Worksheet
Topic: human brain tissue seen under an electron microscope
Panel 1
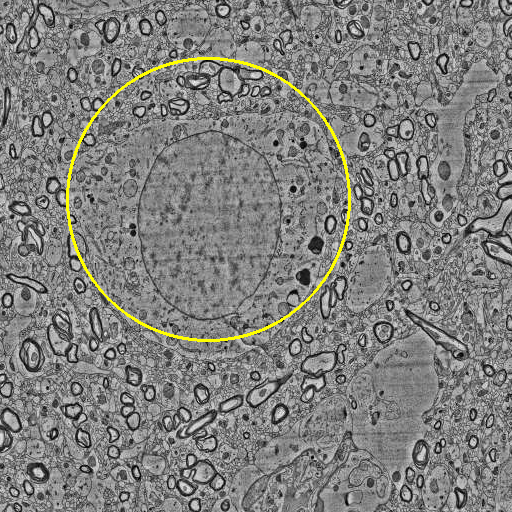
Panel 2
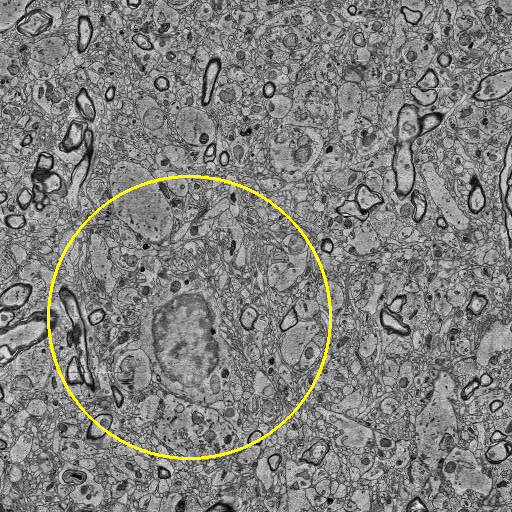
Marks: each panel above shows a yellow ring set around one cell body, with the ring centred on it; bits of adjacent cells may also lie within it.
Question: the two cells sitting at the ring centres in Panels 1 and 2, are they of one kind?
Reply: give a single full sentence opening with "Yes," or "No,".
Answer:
No, the two ring-centre cells in Panel 1 and Panel 2 are of two kinds.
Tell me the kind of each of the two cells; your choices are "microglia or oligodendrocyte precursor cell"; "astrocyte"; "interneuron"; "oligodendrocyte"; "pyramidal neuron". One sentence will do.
The ringed cell is a pyramidal neuron in the first picture and an oligodendrocyte in the second picture.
